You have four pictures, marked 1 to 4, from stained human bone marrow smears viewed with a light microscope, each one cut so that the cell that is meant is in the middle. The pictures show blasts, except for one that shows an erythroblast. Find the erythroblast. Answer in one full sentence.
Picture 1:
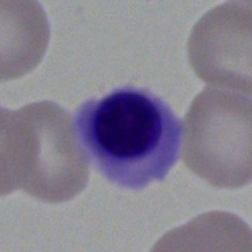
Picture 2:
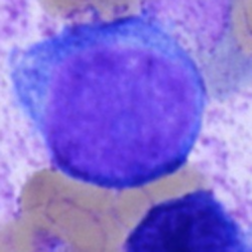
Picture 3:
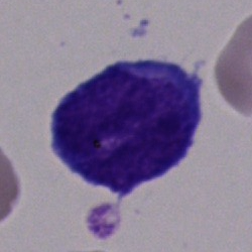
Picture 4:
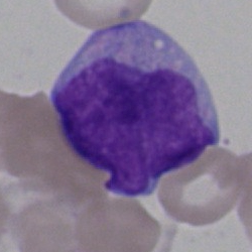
Picture 1 shows the erythroblast.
